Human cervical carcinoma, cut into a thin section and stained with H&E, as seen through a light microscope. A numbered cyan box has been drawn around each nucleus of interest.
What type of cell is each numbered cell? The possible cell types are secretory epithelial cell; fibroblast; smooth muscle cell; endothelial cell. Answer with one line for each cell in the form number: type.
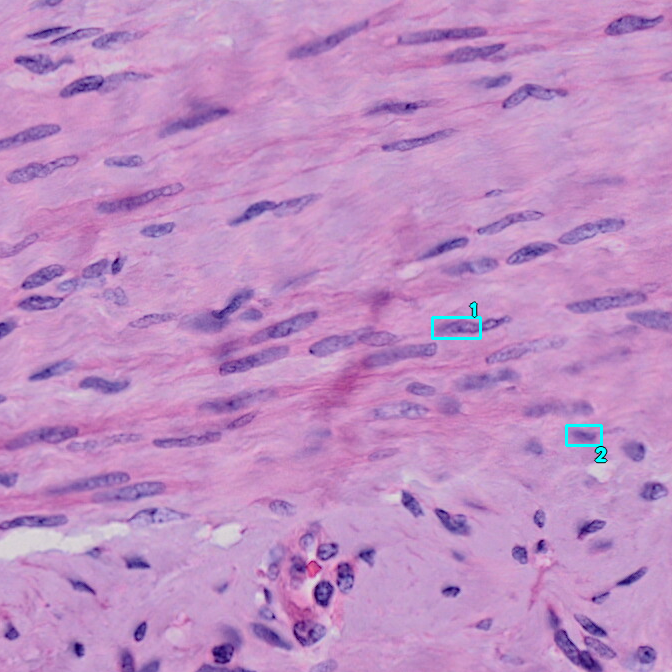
1: smooth muscle cell
2: fibroblast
